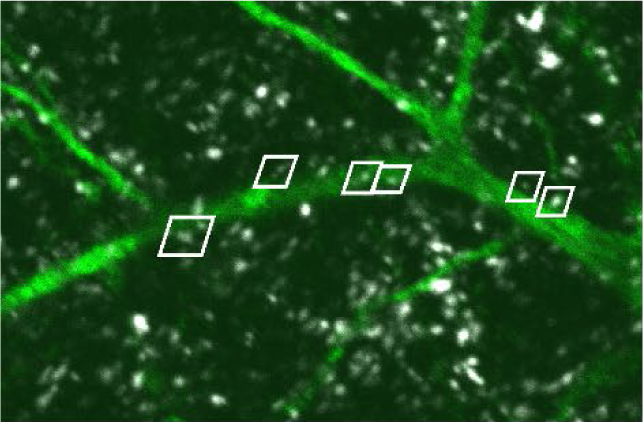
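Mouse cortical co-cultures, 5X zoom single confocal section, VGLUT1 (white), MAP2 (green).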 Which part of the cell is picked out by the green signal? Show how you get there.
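A thick green process crosses the field and branches. Thinner green processes arise from it. So: primary dendrite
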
